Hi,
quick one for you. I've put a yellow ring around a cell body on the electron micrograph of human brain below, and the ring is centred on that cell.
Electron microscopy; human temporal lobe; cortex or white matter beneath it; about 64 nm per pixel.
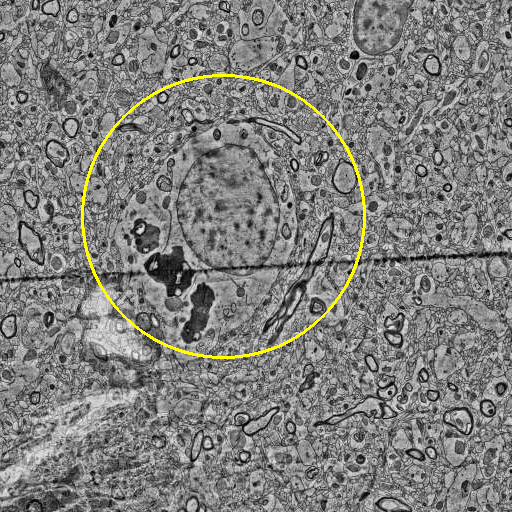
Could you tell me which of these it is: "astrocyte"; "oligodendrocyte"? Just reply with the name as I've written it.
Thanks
astrocyte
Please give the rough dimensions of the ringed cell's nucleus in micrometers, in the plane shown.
The ringed cell's nucleus is about 8 micrometres long and 7 micrometres wide in this plane.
